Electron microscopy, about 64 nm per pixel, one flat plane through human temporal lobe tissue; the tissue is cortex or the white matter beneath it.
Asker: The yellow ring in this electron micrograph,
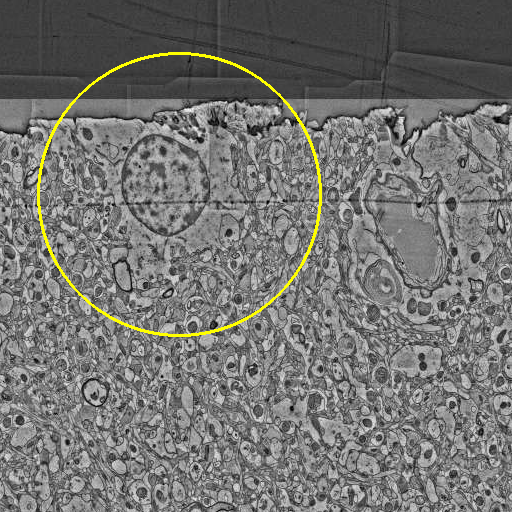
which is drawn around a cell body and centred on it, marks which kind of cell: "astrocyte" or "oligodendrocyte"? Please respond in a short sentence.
The marked cell is an astrocyte.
